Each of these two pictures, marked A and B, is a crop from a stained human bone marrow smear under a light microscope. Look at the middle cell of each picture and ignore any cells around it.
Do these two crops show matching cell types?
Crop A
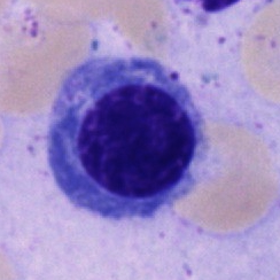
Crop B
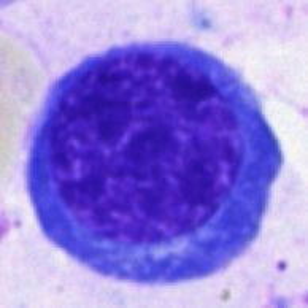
yes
